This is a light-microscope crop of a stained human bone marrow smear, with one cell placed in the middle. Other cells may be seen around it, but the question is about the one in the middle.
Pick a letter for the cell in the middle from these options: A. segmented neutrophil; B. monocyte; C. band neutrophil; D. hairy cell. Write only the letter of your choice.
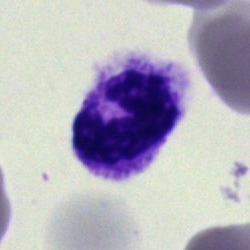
C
